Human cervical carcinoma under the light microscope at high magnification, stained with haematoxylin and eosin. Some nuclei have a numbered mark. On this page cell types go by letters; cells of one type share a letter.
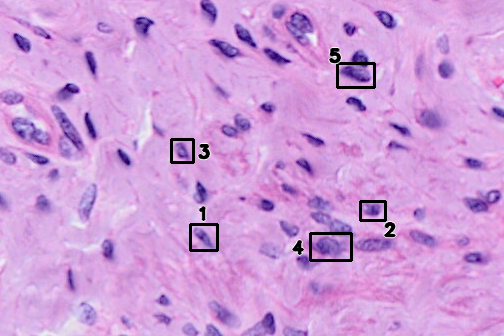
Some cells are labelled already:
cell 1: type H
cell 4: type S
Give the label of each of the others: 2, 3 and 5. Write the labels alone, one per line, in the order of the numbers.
type S
type S
type H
